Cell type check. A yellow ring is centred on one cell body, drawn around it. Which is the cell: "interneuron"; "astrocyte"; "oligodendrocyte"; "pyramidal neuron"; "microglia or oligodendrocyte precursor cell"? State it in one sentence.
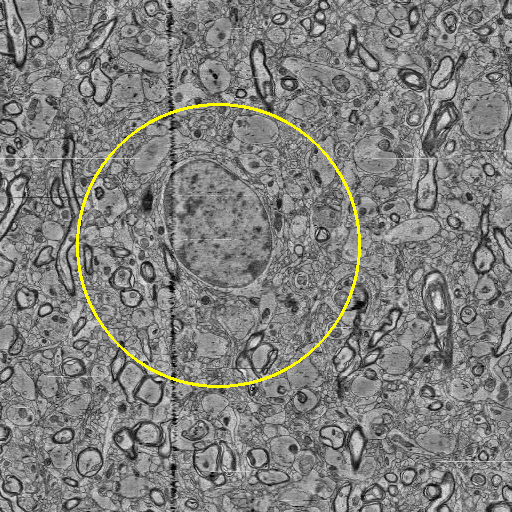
The cell body at the ring's centre belongs to a microglial cell or oligodendrocyte precursor cell.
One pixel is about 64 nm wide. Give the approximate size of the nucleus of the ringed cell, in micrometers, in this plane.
Approximately 9 x 7 micrometres in this plane.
